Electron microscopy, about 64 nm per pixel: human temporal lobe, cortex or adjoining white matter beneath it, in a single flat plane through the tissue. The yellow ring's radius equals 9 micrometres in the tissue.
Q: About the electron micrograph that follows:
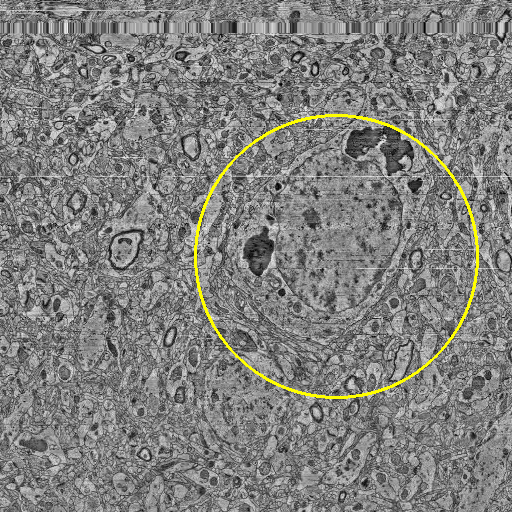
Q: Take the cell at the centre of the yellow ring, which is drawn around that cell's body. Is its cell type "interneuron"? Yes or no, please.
Yes, its type is that one.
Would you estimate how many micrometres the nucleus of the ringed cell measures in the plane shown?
The nucleus appears about 10 micrometres across in this plane.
